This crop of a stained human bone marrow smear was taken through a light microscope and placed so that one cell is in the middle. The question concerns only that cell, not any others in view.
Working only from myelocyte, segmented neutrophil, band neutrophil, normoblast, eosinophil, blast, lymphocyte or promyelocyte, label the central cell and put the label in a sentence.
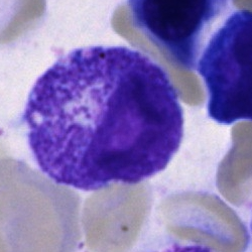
Looking at the middle of the crop, the cell there is a promyelocyte.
